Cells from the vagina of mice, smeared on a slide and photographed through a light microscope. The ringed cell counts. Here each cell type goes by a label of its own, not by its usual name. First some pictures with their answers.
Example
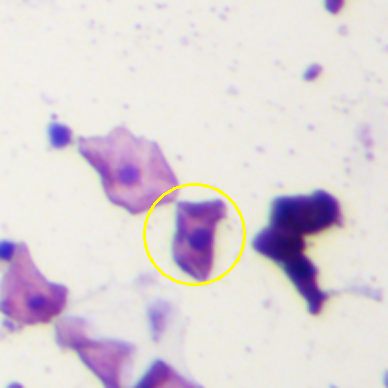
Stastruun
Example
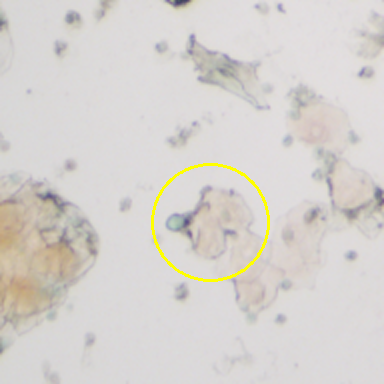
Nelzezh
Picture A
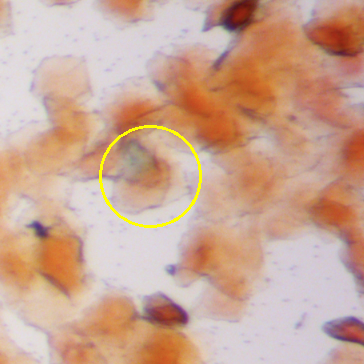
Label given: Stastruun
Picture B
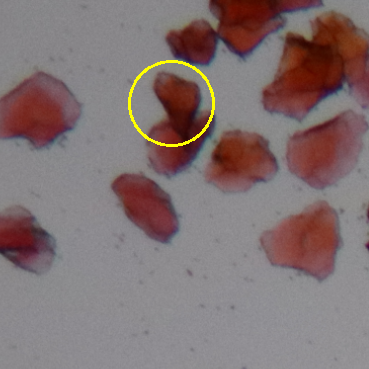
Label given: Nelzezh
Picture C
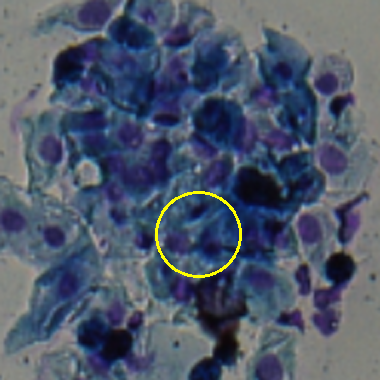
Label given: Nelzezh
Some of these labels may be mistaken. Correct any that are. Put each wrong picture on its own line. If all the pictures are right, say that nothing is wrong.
A is labelled Stastruun; correct label: Nelzezh
C is labelled Nelzezh; correct label: Stastruun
